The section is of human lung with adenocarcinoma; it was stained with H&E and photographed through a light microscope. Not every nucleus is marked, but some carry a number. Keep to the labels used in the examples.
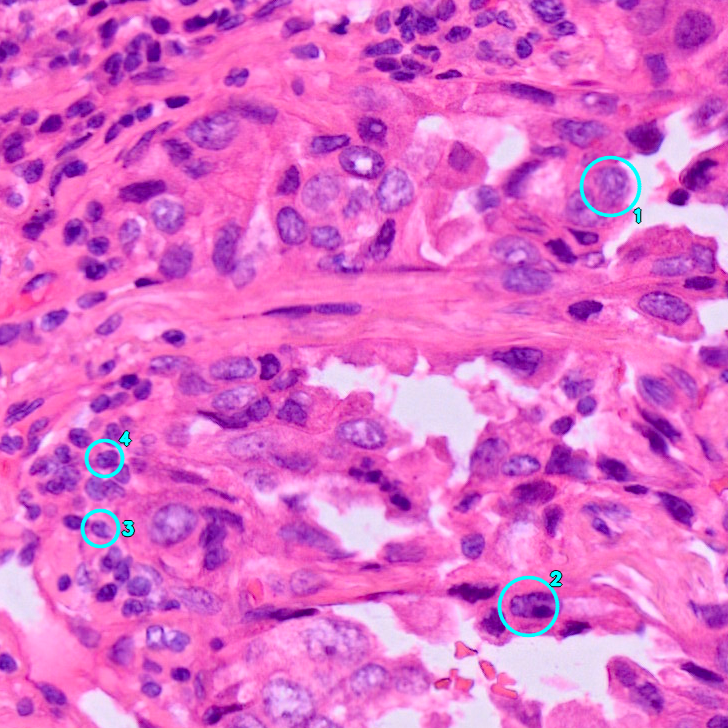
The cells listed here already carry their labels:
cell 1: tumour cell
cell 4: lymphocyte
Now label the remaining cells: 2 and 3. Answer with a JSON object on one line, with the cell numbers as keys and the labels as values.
{"2": "tumour cell", "3": "lymphocyte"}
